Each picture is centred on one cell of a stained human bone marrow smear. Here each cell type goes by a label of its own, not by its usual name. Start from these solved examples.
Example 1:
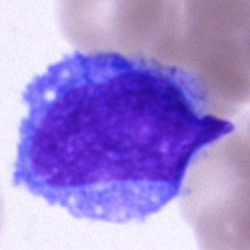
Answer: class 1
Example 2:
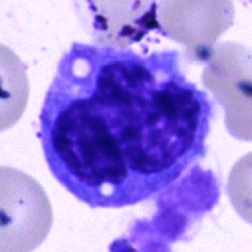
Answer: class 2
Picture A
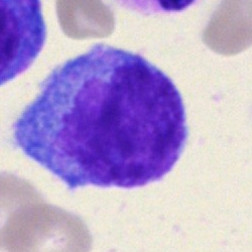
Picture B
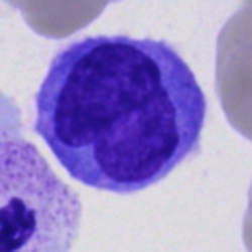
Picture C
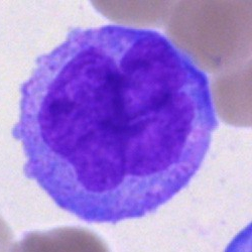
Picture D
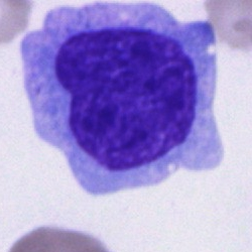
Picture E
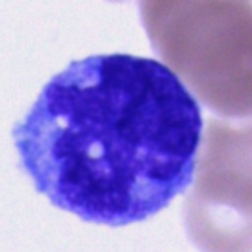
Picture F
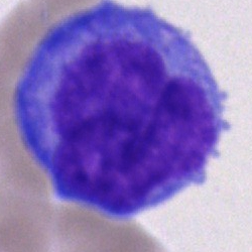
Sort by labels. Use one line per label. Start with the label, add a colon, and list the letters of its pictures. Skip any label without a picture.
class 1: F
class 2: A, B, C, D, E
